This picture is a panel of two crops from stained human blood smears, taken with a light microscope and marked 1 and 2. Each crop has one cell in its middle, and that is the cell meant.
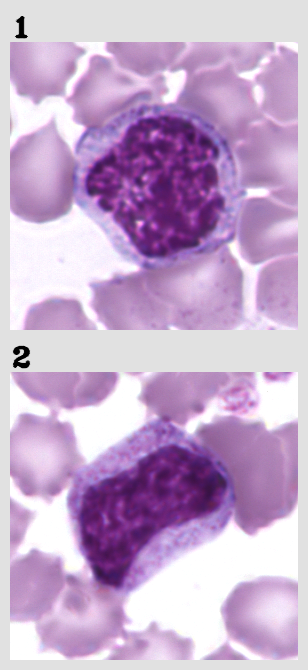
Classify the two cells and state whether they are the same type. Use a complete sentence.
No, the cell shown in crop 1 is a myelocyte, and the cell shown in crop 2 is a metamyelocyte.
